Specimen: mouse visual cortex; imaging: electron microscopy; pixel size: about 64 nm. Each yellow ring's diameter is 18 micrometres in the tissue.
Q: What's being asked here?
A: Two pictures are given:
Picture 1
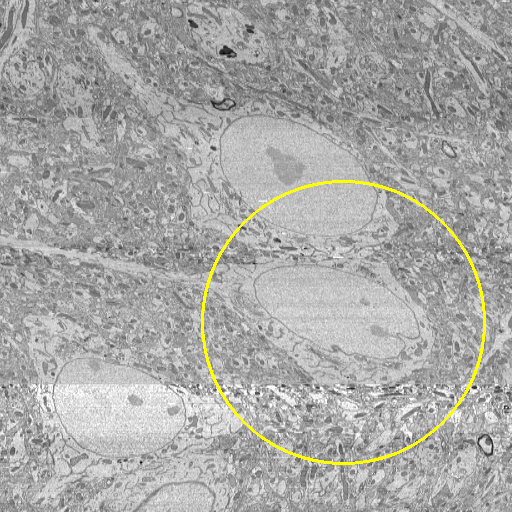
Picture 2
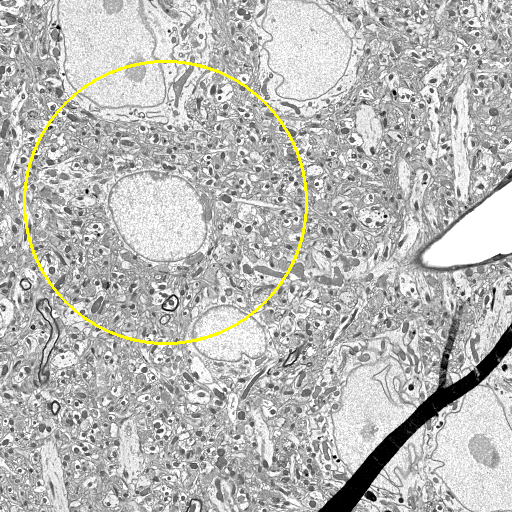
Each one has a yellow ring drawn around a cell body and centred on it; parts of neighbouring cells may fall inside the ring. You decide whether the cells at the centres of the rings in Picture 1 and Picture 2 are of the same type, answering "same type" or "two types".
two types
